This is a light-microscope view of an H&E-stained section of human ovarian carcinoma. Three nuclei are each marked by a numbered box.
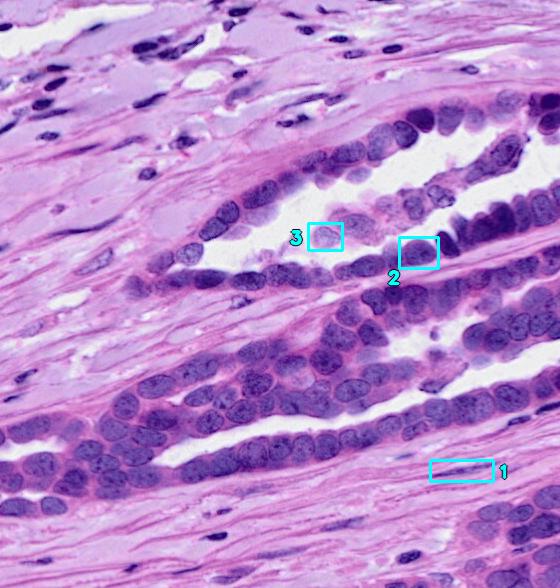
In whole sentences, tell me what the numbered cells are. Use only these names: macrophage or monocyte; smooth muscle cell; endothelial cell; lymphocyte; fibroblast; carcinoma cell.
Cell 1 is a fibroblast, cell 2 is a carcinoma cell and cell 3 is a carcinoma cell.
